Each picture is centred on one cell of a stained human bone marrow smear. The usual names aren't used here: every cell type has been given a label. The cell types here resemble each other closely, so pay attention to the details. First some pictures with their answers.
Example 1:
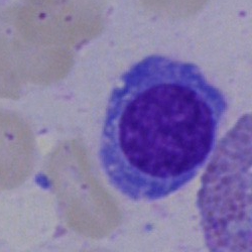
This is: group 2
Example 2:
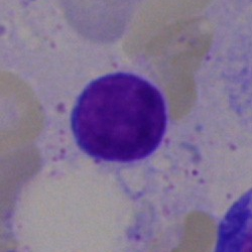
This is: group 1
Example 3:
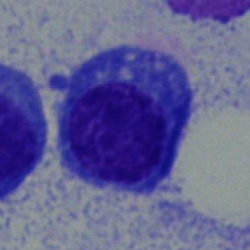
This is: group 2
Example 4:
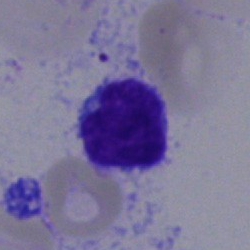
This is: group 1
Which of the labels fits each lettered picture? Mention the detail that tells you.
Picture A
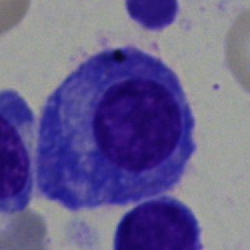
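Answer: group 2. The cytoplasm is abundant and stains deep blue.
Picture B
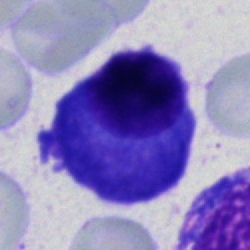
Answer: group 2. A broad band of cytoplasm fills the lower half of the cell beneath the nucleus.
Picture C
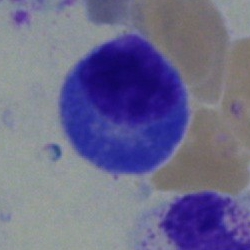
Answer: group 2. The cytoplasm forms a broad band below the nucleus, taking up roughly half the cell.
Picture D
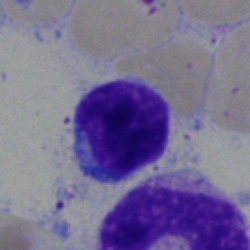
Answer: group 1. The cytoplasm is a scant rim that is widest at the lower left.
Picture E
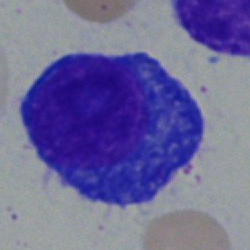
Answer: group 2. The cytoplasm forms a broad zone on the right side of the nucleus.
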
